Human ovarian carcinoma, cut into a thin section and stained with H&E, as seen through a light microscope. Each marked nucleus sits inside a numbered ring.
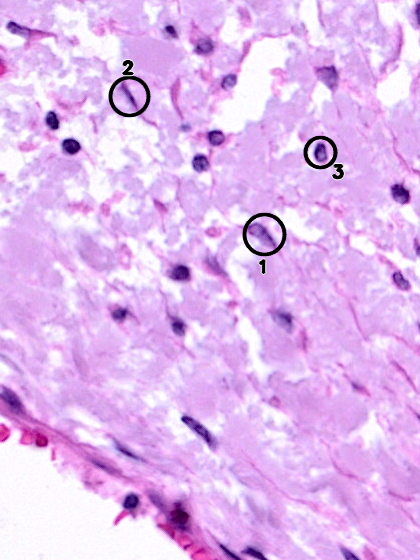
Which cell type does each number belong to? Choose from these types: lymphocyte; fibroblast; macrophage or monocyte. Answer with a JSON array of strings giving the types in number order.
["fibroblast", "fibroblast", "lymphocyte"]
